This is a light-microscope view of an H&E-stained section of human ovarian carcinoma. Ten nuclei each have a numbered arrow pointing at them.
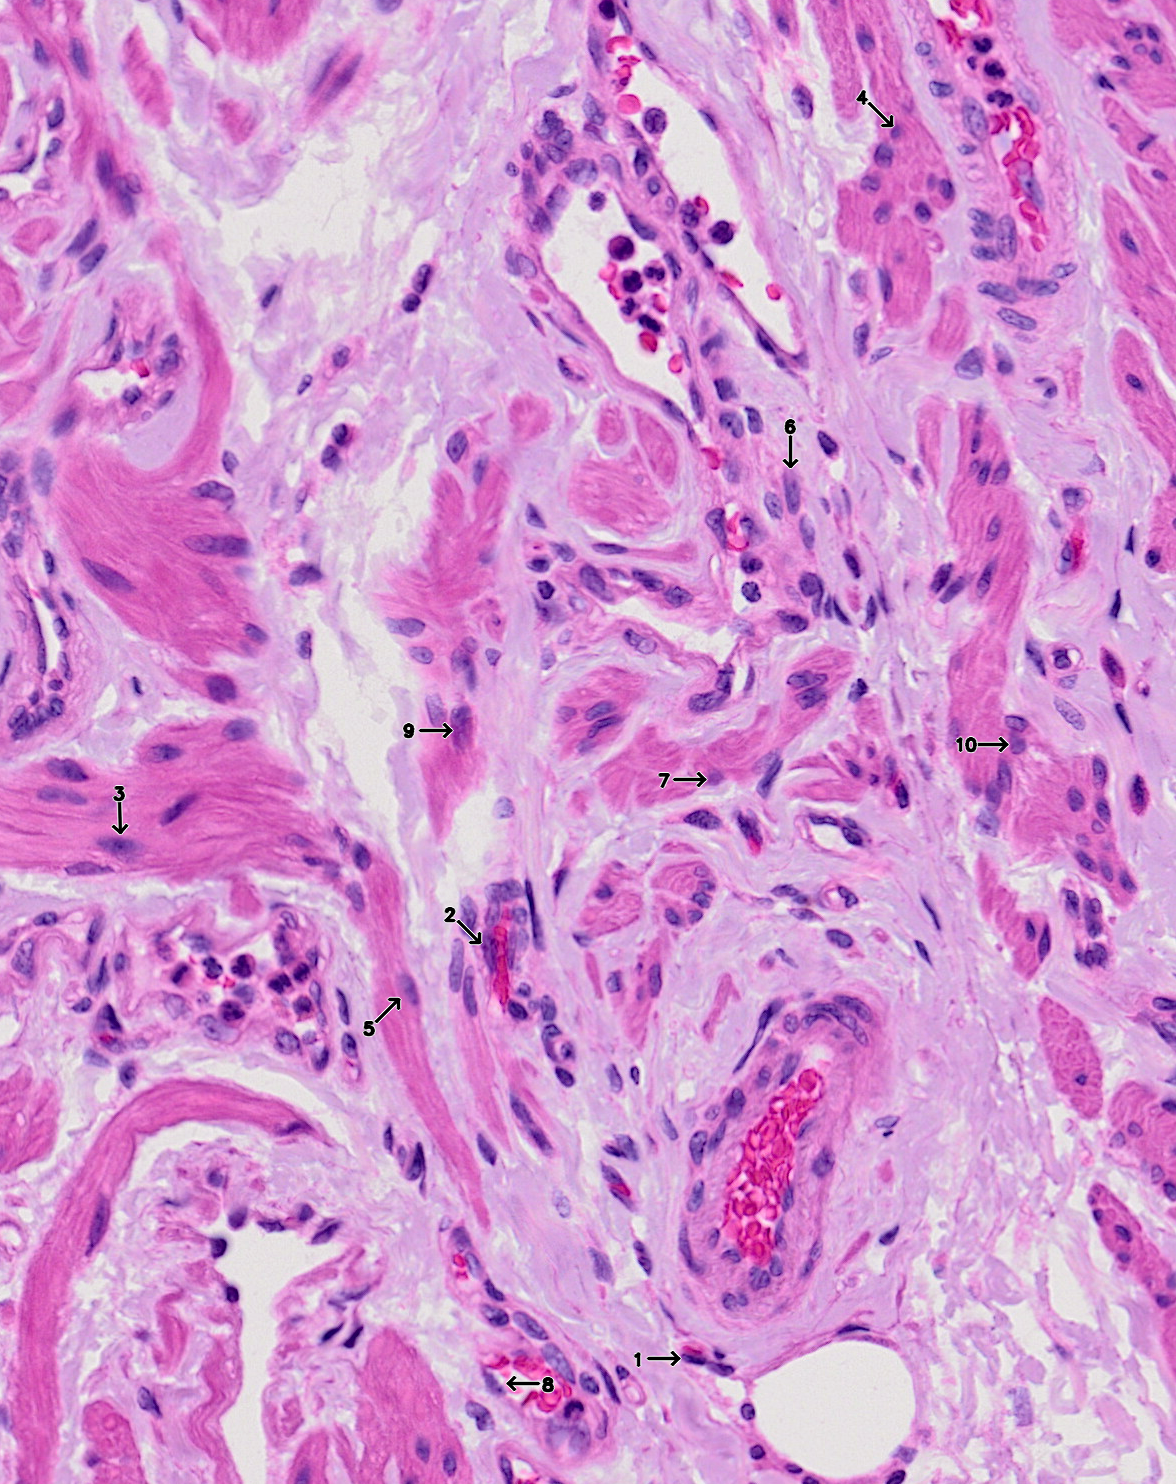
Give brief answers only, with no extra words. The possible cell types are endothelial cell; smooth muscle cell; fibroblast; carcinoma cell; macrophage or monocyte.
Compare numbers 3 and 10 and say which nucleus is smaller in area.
10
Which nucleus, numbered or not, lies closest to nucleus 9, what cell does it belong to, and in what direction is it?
a smooth muscle cell above and to the left of nucleus 9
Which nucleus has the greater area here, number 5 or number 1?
5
